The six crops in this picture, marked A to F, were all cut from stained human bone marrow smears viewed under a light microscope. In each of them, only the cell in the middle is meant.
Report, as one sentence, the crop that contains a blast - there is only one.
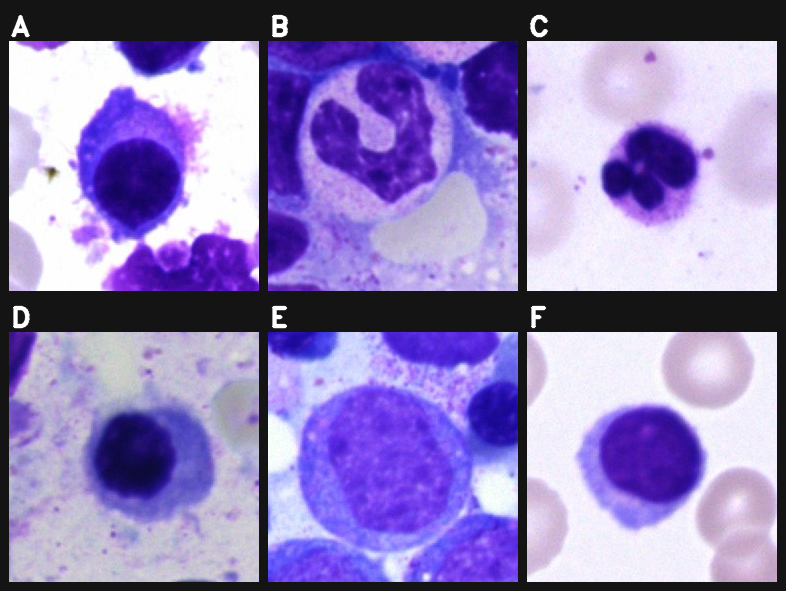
Crop E is the one in this set that shows a blast.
